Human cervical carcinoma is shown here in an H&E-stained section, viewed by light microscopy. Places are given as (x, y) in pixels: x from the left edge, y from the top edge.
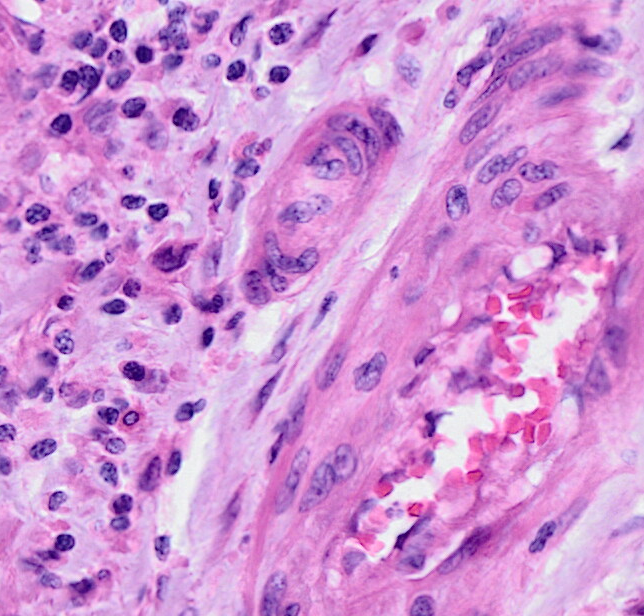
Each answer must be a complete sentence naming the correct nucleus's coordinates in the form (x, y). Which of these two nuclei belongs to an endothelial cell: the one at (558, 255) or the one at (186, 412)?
It is the nucleus at (558, 255) that belongs to an endothelial cell.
